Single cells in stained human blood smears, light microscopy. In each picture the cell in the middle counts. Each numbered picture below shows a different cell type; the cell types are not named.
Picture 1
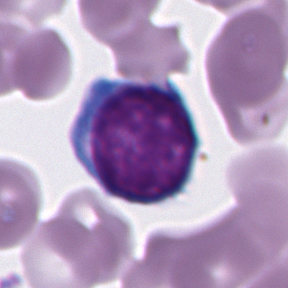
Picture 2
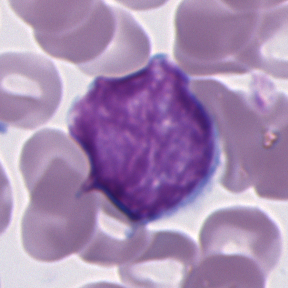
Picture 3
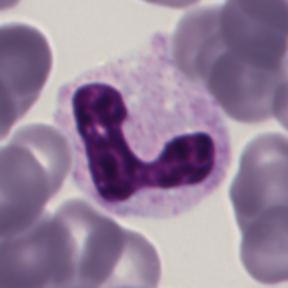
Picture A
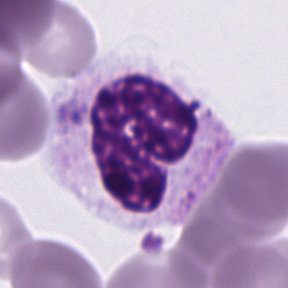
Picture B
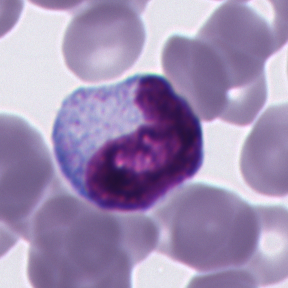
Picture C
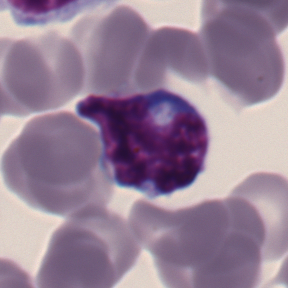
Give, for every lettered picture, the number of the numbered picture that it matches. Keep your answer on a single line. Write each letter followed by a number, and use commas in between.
A 3, B 1, C 1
